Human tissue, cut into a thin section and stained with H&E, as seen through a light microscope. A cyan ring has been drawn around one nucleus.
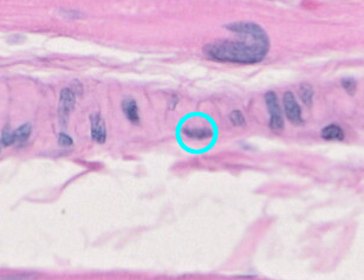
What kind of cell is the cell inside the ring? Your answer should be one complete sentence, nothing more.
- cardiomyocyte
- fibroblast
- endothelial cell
The correct response here is that the cell inside the ring is a fibroblast.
